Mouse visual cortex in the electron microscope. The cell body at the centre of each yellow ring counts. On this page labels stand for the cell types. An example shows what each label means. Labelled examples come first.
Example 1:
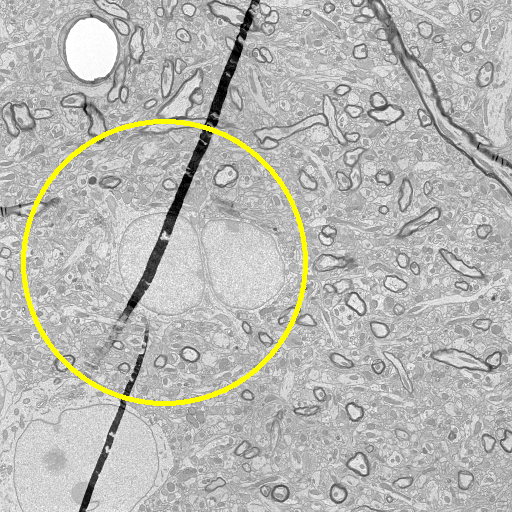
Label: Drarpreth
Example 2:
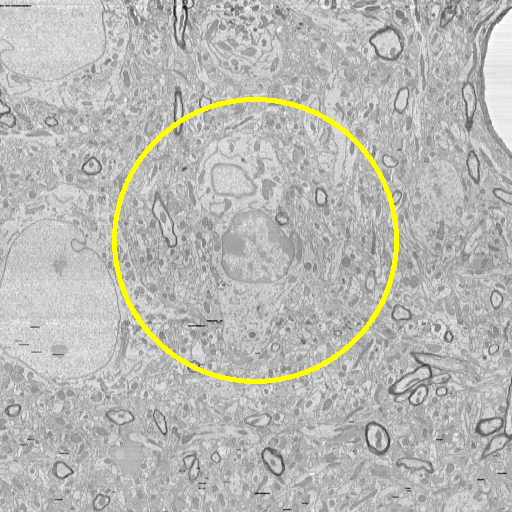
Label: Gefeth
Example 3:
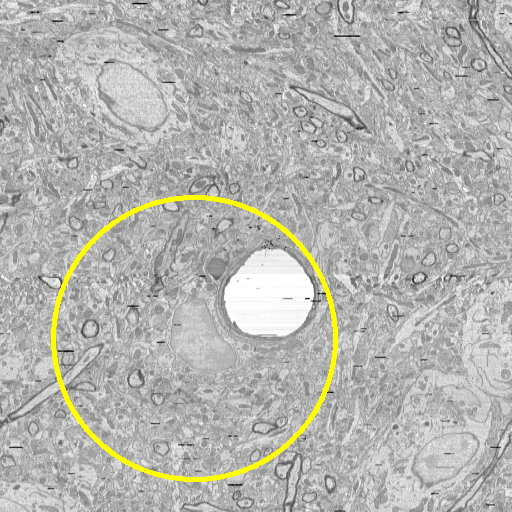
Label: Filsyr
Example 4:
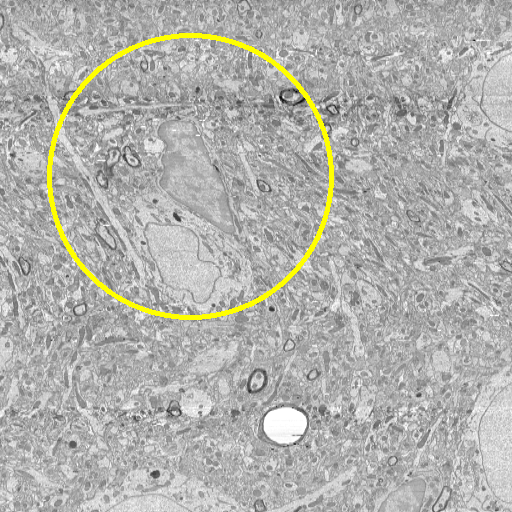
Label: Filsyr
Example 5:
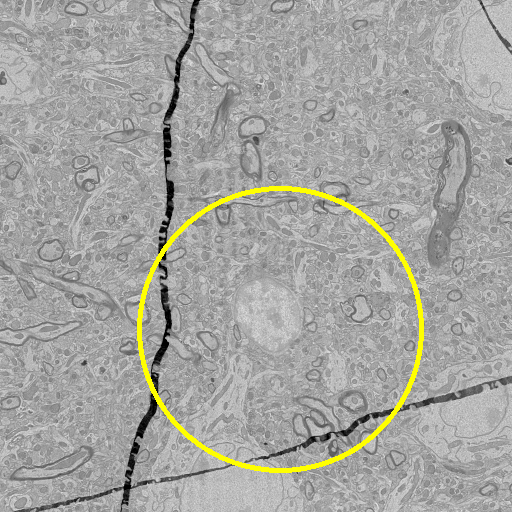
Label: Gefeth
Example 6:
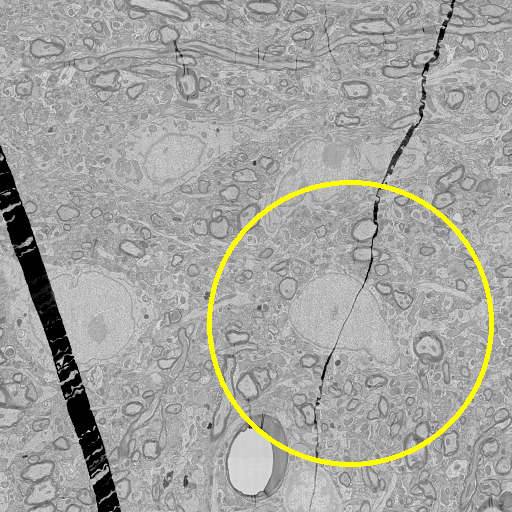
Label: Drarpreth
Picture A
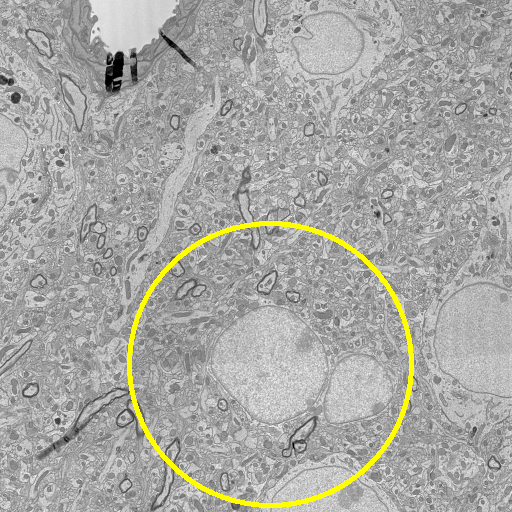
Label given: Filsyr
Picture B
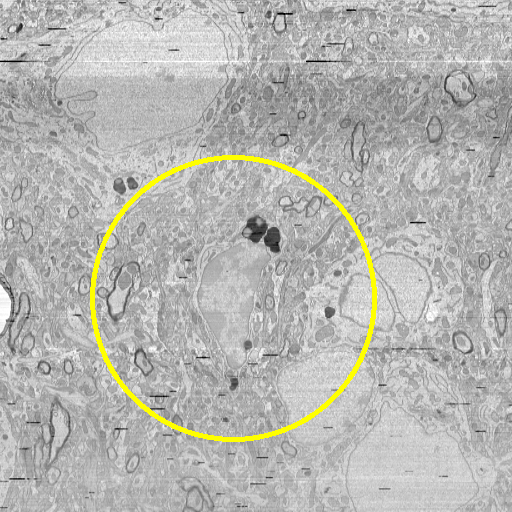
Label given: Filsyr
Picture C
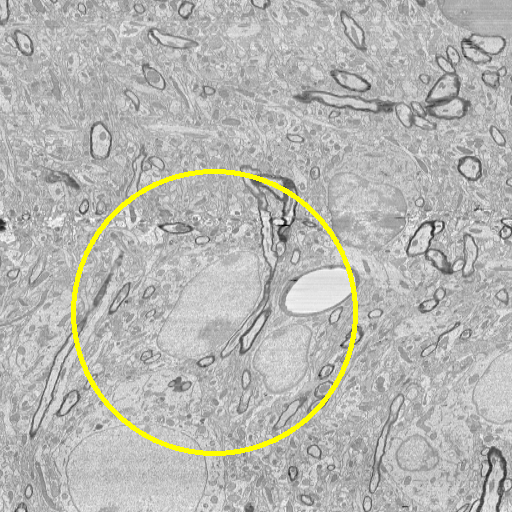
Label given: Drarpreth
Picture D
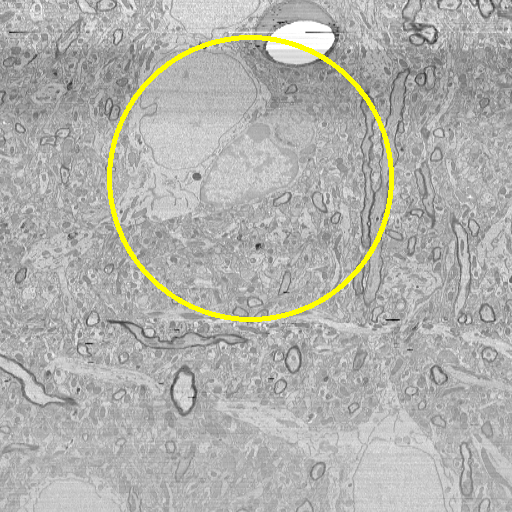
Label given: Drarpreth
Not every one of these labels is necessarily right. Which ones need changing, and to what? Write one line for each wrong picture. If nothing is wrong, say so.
A should be Drarpreth, not Filsyr
D should be Gefeth, not Drarpreth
